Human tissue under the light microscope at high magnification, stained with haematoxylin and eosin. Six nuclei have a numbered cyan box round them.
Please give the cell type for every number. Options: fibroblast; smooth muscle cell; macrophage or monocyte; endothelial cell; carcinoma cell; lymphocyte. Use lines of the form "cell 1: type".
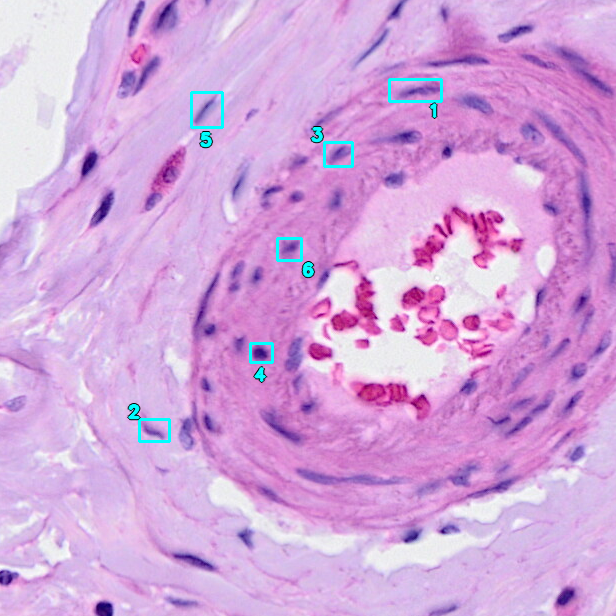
cell 1: smooth muscle cell
cell 2: fibroblast
cell 3: smooth muscle cell
cell 4: smooth muscle cell
cell 5: fibroblast
cell 6: smooth muscle cell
